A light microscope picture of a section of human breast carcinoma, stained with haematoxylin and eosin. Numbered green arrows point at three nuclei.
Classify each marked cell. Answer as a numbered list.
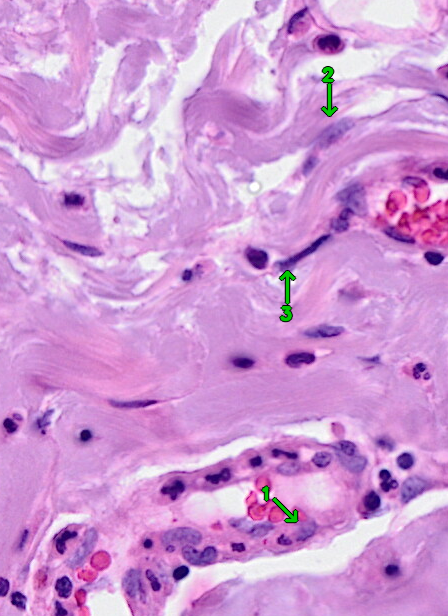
1. endothelial cell
2. fibroblast
3. fibroblast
